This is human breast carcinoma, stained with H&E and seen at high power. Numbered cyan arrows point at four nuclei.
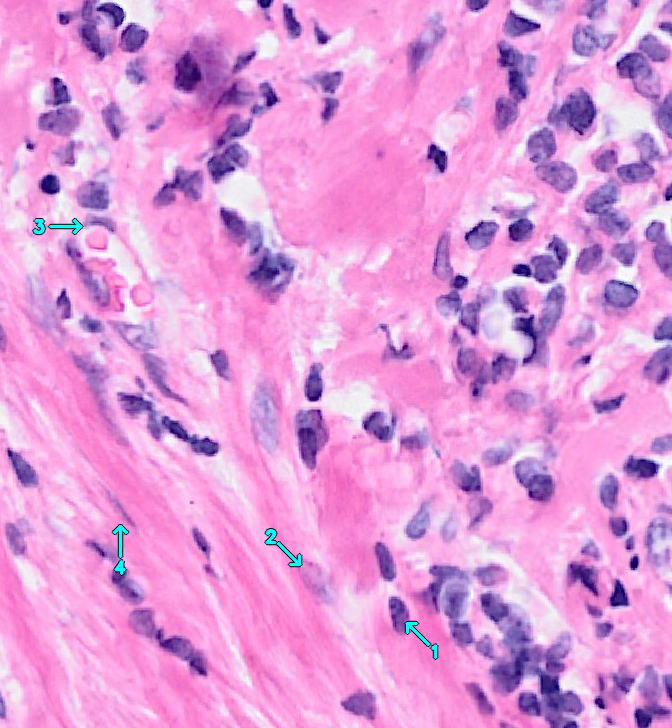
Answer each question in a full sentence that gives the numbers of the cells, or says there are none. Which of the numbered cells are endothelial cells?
Being an endothelial cell is true of cell 3 and of no other numbered cell.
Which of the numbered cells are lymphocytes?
It is cell 1, and no other numbered cell, that is a lymphocyte.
